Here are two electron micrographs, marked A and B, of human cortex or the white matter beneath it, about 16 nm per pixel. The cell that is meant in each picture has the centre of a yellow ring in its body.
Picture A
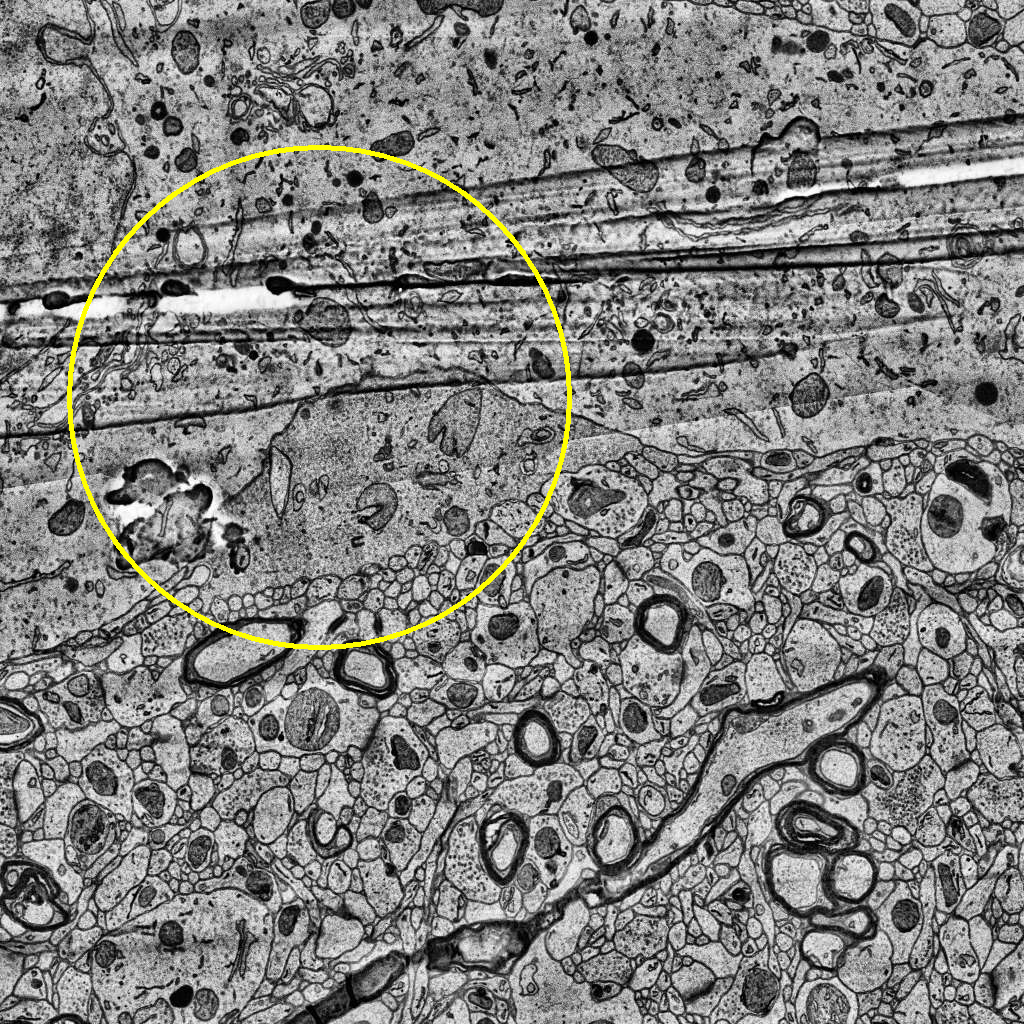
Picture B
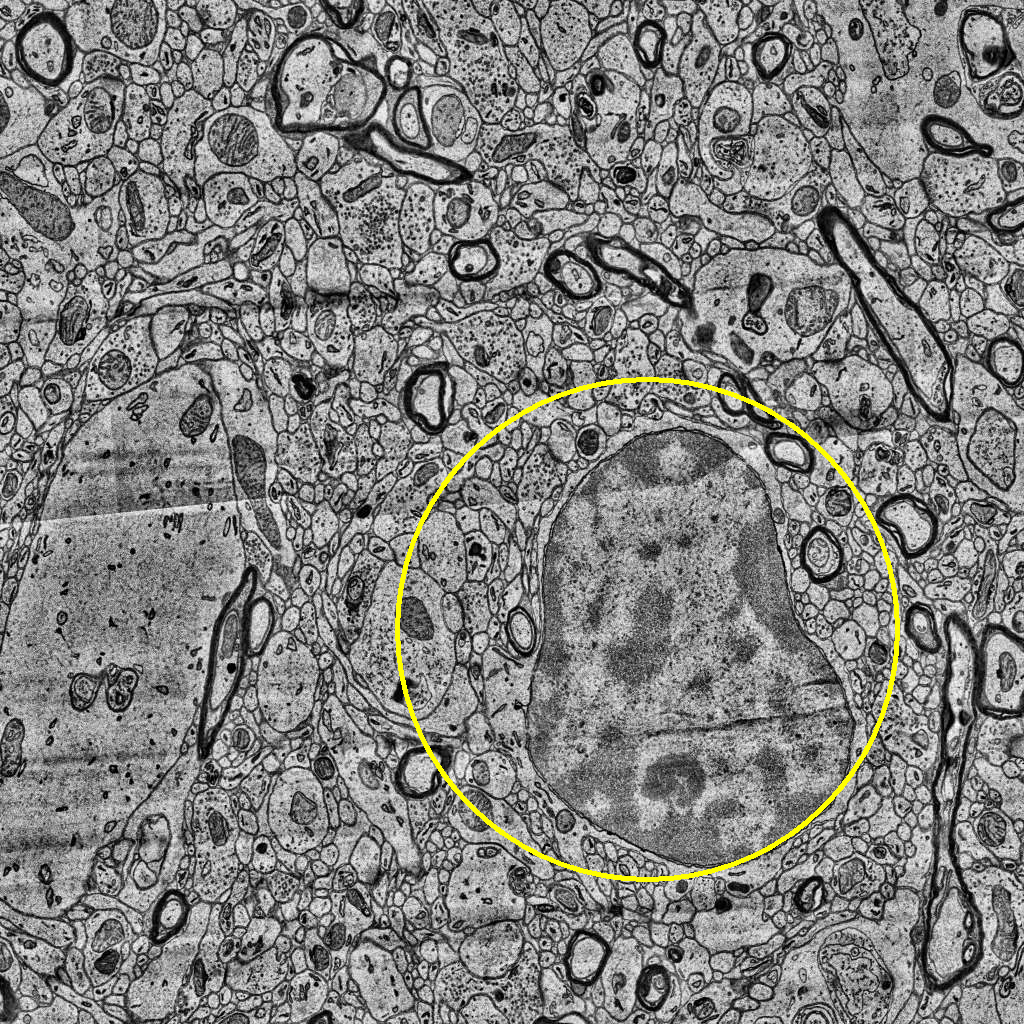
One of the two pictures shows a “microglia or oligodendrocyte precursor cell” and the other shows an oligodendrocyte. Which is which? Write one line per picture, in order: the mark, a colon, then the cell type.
A: oligodendrocyte
B: microglia or oligodendrocyte precursor cell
